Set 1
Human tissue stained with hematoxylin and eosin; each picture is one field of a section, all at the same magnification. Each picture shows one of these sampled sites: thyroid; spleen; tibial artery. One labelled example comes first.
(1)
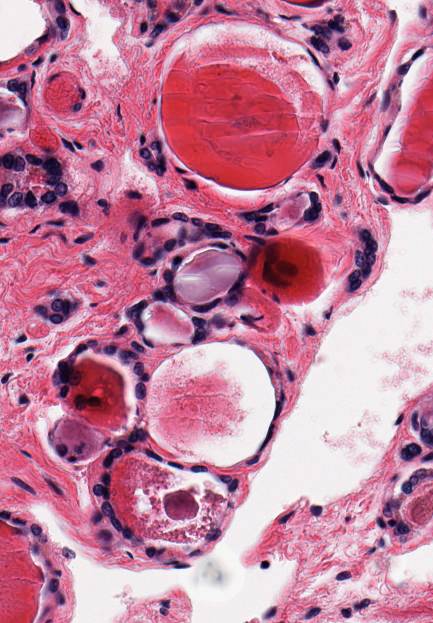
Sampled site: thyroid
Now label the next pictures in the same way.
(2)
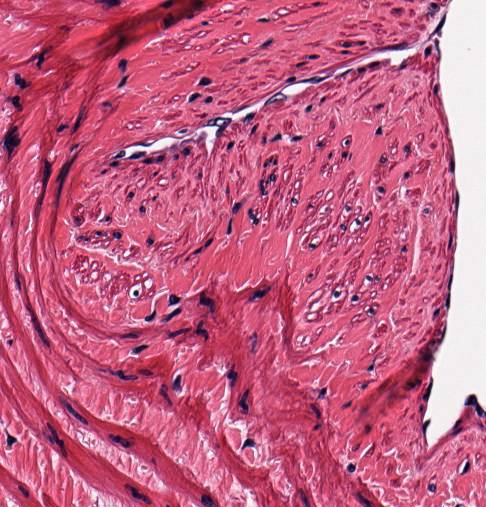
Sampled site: tibial artery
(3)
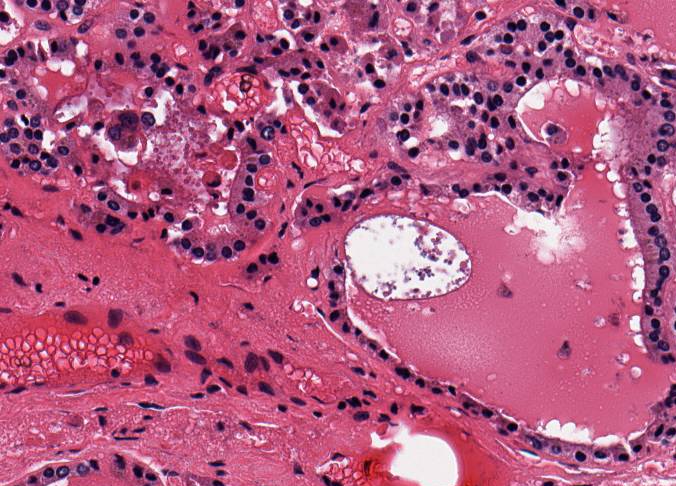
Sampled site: thyroid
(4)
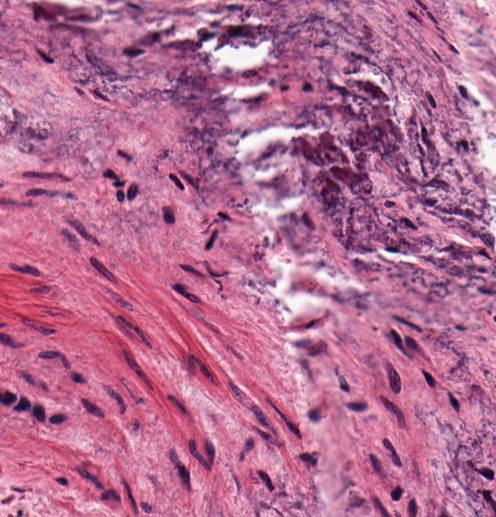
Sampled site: tibial artery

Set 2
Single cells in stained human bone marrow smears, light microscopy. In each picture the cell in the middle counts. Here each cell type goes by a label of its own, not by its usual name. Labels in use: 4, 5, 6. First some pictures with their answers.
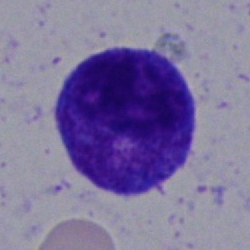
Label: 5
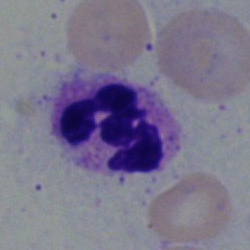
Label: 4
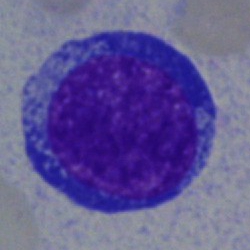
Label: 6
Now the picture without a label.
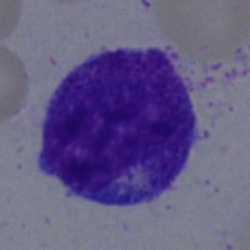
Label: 5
